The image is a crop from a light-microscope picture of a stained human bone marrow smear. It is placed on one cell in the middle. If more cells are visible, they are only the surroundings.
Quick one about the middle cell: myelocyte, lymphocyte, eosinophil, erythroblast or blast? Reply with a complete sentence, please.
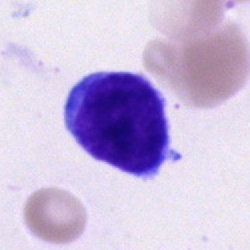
Whatever else lies nearby, the middle cell is a lymphocyte.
